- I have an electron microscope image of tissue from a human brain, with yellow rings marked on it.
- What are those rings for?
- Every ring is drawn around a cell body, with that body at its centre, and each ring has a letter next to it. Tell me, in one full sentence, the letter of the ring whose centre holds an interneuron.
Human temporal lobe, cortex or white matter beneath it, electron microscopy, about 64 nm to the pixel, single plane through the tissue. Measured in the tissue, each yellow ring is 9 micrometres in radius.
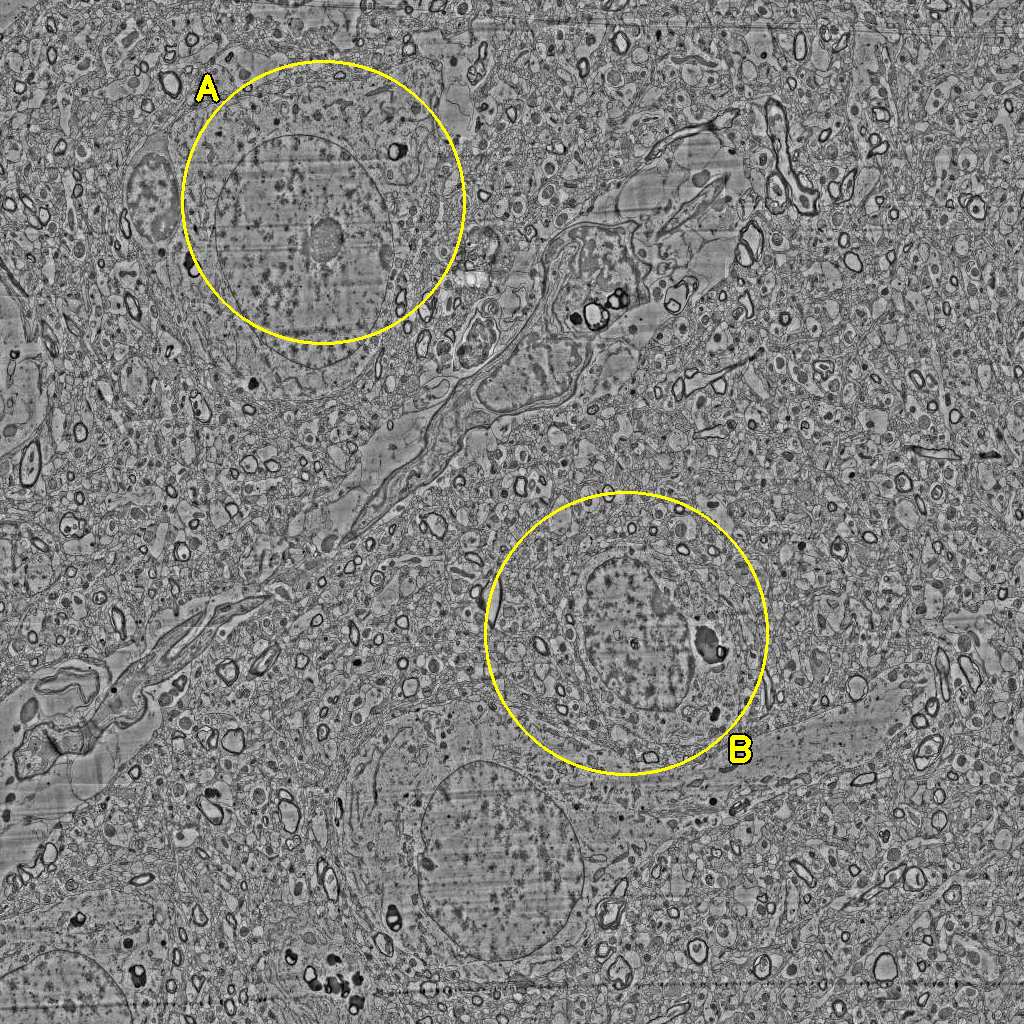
In the picture, the cell asked for sits at the centre of ring B.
